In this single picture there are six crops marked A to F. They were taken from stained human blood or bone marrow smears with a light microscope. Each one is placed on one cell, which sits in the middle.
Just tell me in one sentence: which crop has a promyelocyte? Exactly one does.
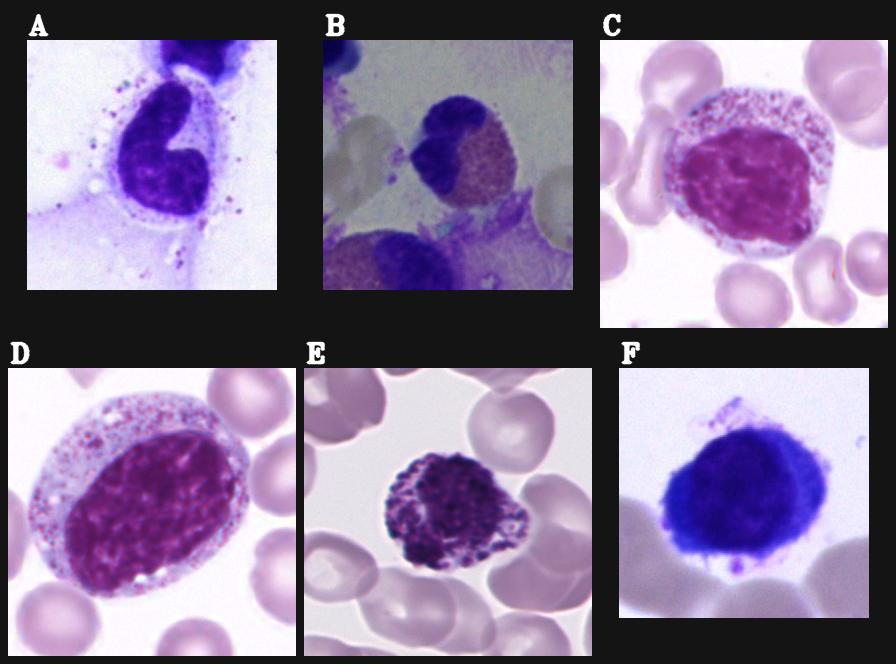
Within this set, crop D is the one with a promyelocyte at its center.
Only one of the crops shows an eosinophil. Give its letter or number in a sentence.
Crop B is identified as the crop showing an eosinophil.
